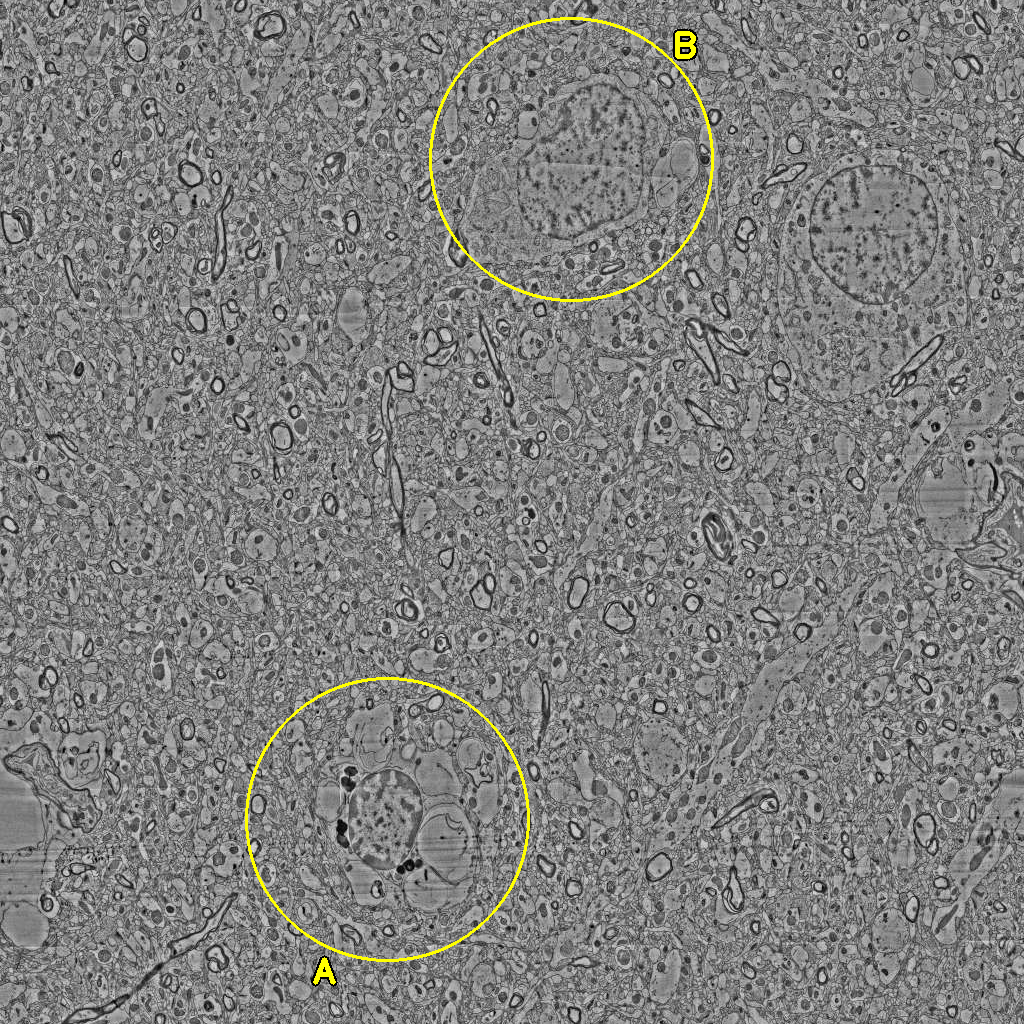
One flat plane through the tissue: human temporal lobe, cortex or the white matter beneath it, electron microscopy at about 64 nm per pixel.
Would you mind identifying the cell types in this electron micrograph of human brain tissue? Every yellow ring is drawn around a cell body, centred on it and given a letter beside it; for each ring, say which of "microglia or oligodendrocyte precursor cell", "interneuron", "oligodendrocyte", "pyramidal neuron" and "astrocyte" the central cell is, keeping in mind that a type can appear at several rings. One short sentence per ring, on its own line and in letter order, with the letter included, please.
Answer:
At the centre of ring A lies a microglial cell or oligodendrocyte precursor cell.
At the centre of ring B lies an interneuron.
